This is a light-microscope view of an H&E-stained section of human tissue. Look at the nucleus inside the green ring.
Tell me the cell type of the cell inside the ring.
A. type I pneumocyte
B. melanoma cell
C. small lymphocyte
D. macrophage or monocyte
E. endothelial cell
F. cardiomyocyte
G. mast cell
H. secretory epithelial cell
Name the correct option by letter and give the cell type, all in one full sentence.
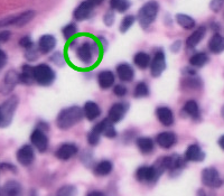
Among the choices, option C is correct, the cell inside the ring being a small lymphocyte.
